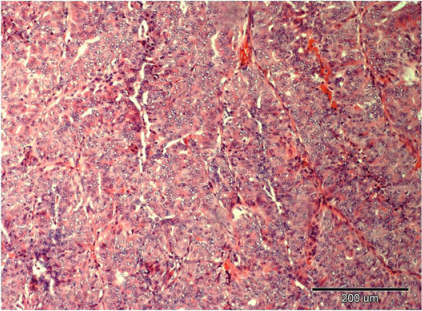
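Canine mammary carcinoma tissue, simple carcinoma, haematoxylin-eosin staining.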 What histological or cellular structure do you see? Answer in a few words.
Solid foci.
